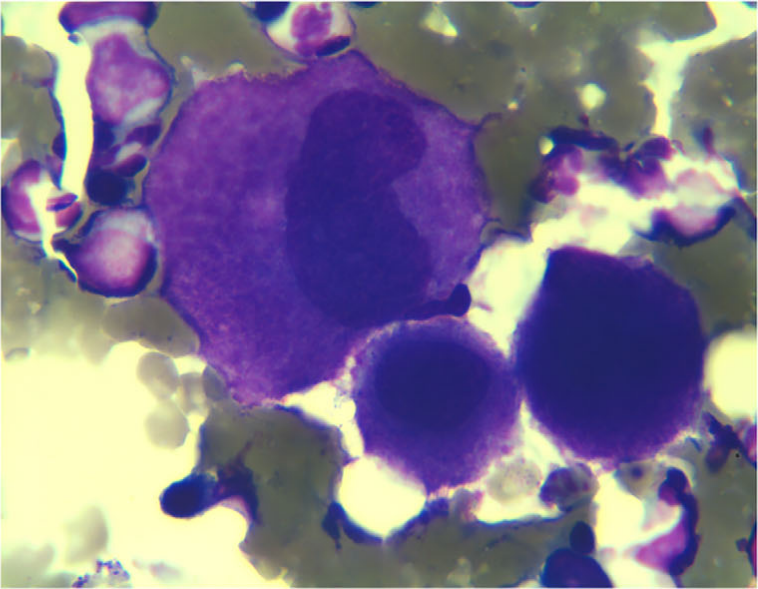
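This thicker field of a bone marrow smear holds a very large cell beside two smaller round cells, on an olive-grey background. The large cell has abundant purple, finely granular cytoplasm with an irregular border, and a single large, dark, folded nucleus. The two smaller cells are rounded.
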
